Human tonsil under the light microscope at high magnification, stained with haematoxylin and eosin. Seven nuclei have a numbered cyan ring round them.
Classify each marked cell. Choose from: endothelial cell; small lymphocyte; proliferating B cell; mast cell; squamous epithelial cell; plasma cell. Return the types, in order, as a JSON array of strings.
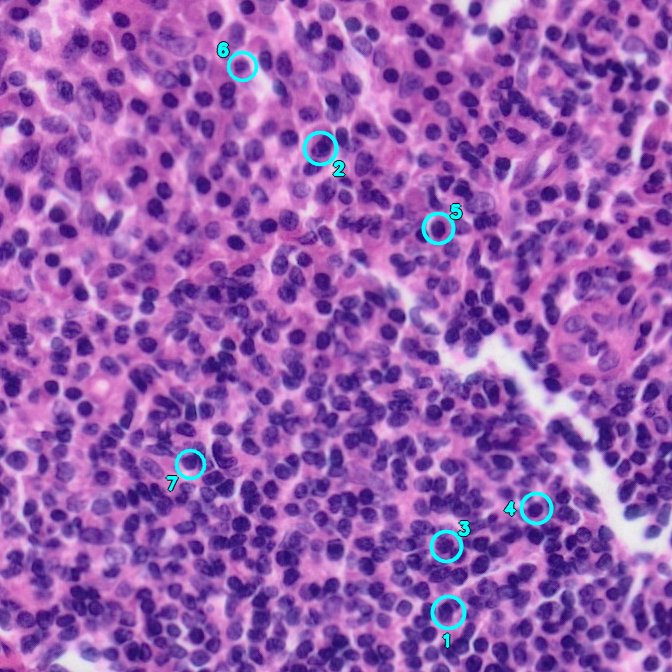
["small lymphocyte", "plasma cell", "small lymphocyte", "small lymphocyte", "plasma cell", "plasma cell", "small lymphocyte"]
